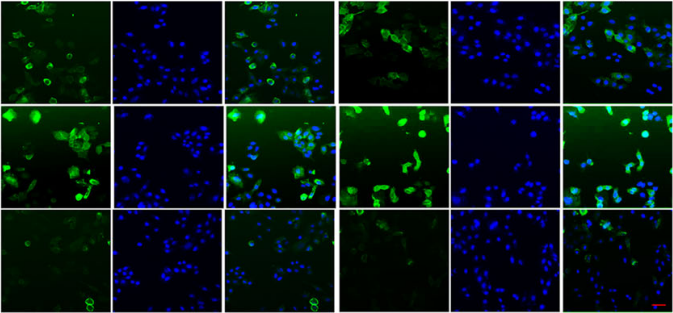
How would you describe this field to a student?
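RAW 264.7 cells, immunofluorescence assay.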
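These are cultured cells seen by fluorescence, shown as separate channels and merged views. Round to oval nuclei appear in blue, scattered singly and in small loose clusters across each field. In the green channel, some cells show a diffuse signal filling the cytoplasm around the nucleus, while others show little or none. In the merged views the green lies around the blue nuclei, outlining the cell bodies, some of which are rounded and some irregular or spread. The amount of green differs clearly between the rows of images.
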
